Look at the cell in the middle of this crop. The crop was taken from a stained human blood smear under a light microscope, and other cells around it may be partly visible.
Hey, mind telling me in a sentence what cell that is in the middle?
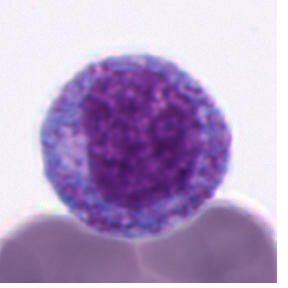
This particular crop is centered on a promyelocyte.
